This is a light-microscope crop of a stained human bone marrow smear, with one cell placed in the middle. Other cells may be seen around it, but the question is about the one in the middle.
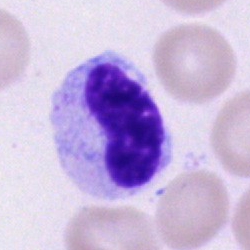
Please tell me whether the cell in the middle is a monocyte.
no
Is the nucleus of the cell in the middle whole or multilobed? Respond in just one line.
The nucleus amounts to one compact mass with a round, oval or kidney-shaped outline.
